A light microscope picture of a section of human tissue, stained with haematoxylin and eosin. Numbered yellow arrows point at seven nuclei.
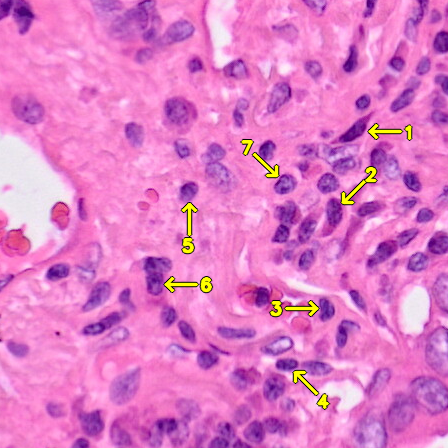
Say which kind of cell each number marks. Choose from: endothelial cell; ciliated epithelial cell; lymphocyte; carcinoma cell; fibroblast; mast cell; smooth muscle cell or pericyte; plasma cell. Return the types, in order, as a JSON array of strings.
["plasma cell", "plasma cell", "lymphocyte", "lymphocyte", "lymphocyte", "plasma cell", "mast cell"]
